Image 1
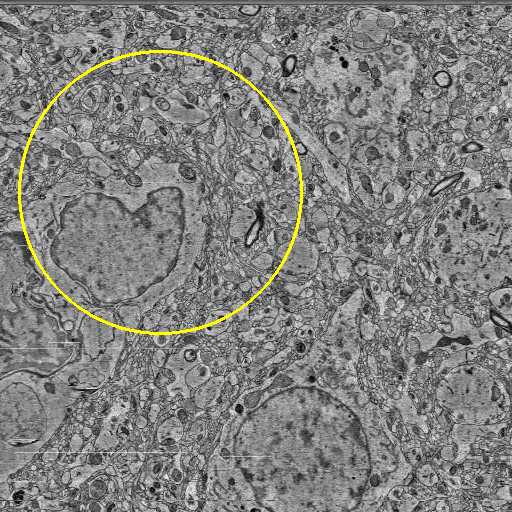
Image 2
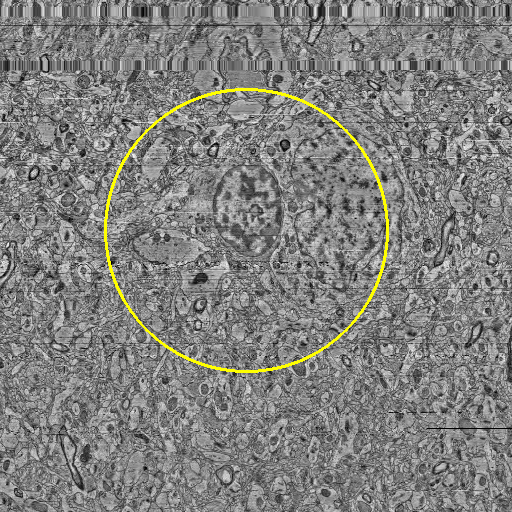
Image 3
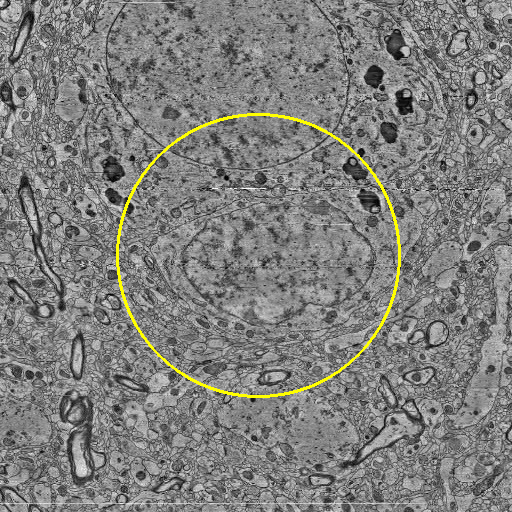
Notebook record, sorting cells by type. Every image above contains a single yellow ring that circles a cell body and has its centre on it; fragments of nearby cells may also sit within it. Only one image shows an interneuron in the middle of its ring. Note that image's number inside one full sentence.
For image 3, the cell in the middle of its yellow ring is the match.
